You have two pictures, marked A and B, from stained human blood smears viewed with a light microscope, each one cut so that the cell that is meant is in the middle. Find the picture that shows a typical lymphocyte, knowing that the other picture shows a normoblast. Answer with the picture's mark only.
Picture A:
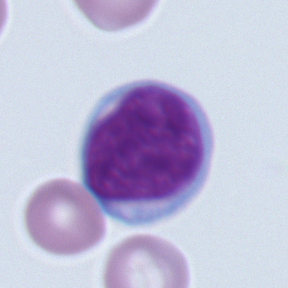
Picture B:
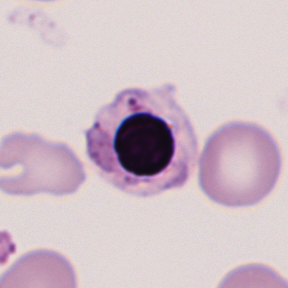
A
